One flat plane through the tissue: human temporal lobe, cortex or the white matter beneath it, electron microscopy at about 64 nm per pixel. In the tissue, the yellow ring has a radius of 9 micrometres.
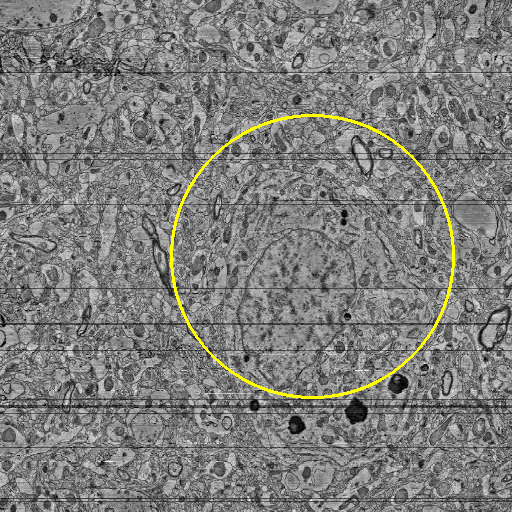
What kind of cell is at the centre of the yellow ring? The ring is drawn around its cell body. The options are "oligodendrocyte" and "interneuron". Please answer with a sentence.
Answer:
The yellow ring marks the cell body of an interneuron.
